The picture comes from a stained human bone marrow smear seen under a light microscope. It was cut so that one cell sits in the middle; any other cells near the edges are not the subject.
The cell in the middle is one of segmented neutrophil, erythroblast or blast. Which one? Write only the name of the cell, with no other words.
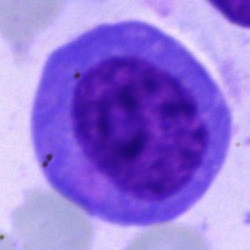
blast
